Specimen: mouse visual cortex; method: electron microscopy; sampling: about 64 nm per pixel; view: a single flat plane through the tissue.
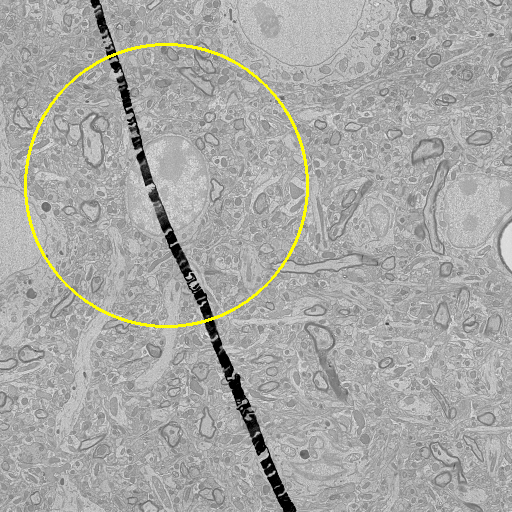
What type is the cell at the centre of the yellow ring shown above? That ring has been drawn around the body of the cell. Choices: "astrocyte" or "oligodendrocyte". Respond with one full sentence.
My answer is that an oligodendrocyte lies at the centre of the yellow ring above.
